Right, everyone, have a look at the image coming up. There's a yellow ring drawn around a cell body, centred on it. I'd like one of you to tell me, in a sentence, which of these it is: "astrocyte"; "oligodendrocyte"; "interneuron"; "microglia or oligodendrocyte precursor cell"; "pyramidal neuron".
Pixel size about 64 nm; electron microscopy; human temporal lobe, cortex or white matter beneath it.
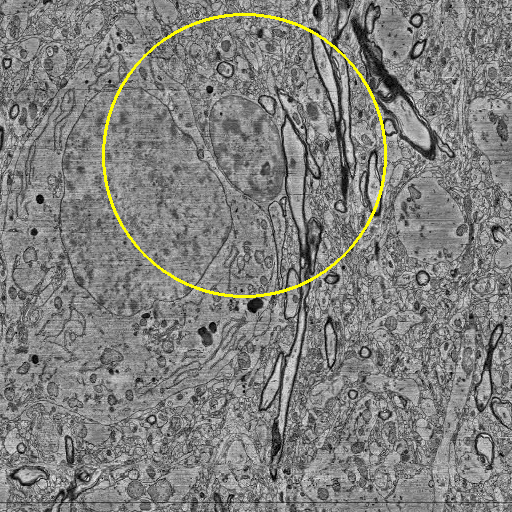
The yellow ring sits on an oligodendrocyte.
